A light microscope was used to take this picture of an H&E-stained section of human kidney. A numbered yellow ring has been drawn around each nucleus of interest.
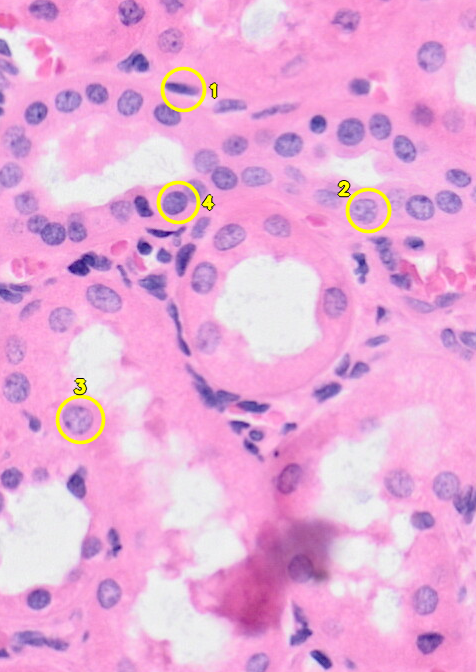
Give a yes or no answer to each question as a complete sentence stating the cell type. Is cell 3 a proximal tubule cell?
Yes, number 3 marks a cell that is a proximal tubule cell.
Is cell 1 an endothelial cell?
Yes, within this section, cell number 1 is an endothelial cell.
